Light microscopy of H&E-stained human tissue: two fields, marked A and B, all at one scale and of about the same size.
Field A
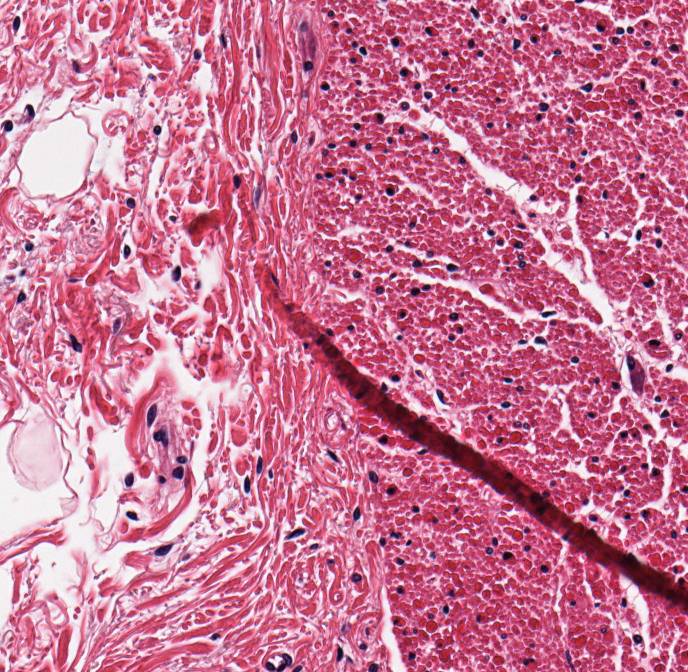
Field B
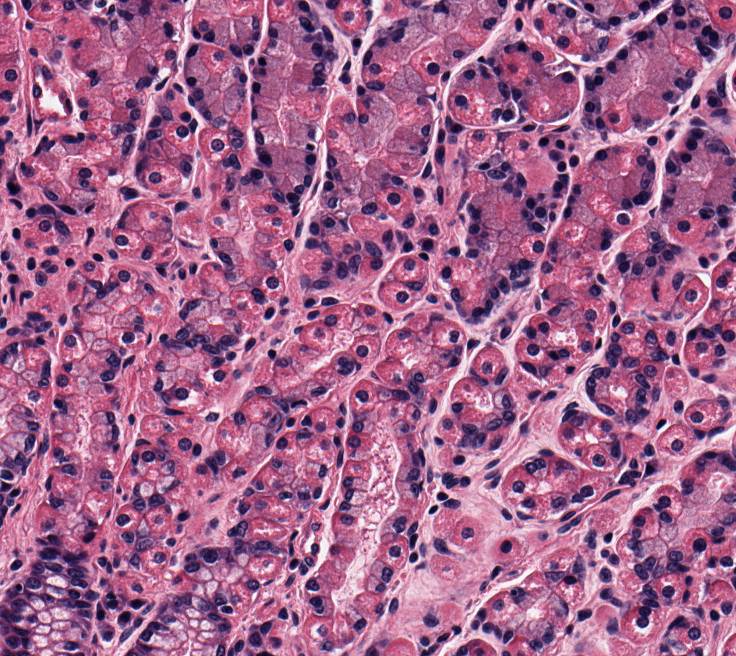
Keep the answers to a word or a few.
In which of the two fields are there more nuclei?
B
